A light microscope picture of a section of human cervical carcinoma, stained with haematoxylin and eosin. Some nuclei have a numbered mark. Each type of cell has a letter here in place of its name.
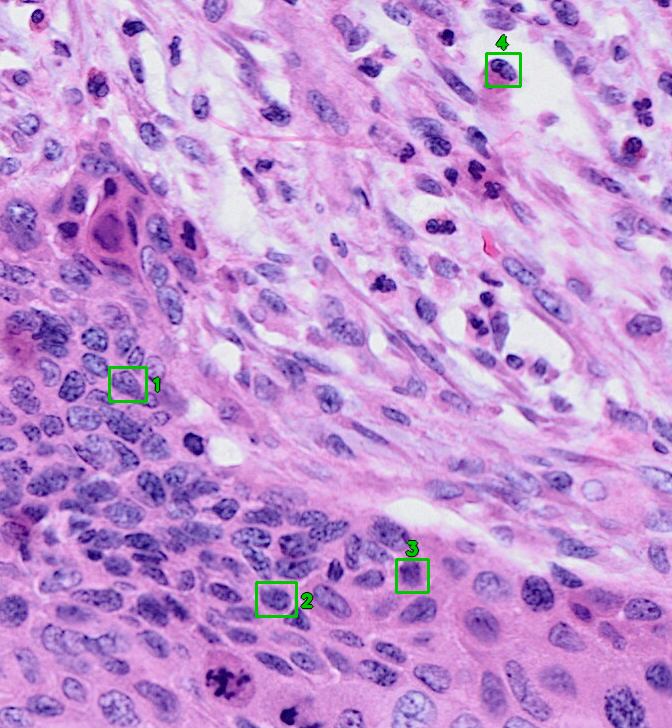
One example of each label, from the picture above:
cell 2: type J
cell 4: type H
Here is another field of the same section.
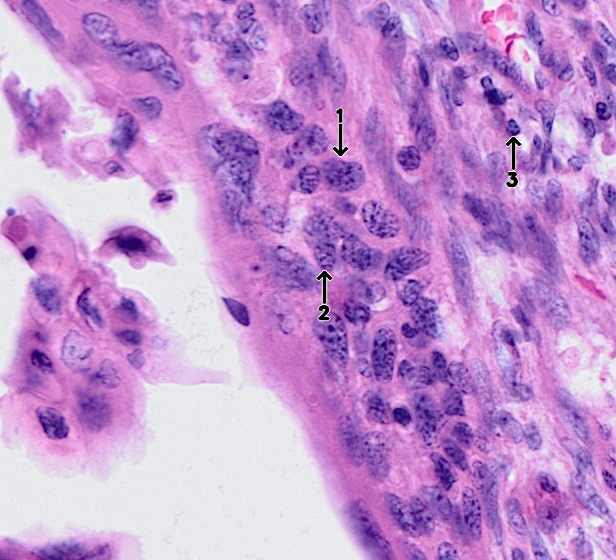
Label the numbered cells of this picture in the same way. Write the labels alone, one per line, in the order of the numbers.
type J
type J
type H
